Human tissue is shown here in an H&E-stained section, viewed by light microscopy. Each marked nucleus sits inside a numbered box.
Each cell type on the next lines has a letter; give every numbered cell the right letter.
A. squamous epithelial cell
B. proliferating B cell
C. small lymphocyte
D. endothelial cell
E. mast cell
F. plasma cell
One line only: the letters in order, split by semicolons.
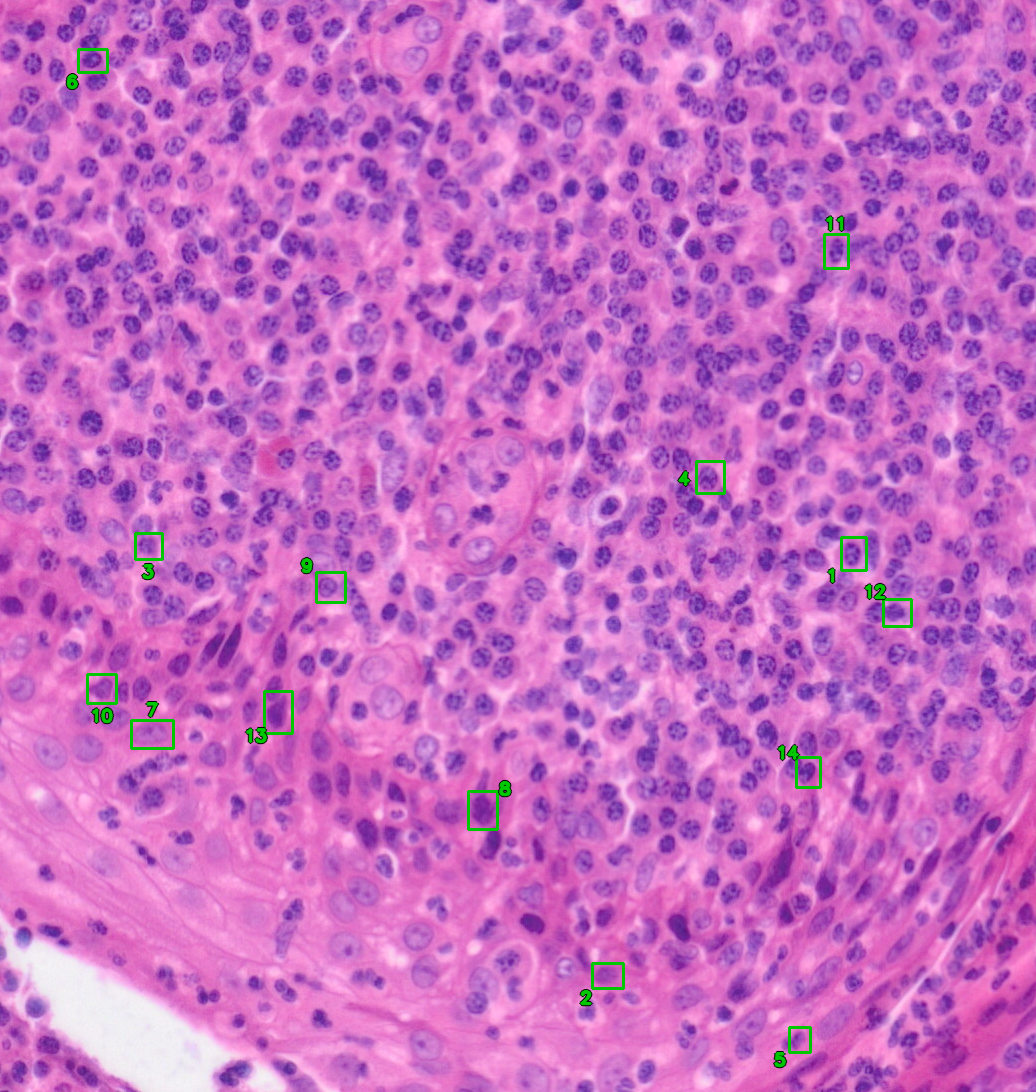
F; A; F; F; A; F; A; A; F; A; F; F; A; F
